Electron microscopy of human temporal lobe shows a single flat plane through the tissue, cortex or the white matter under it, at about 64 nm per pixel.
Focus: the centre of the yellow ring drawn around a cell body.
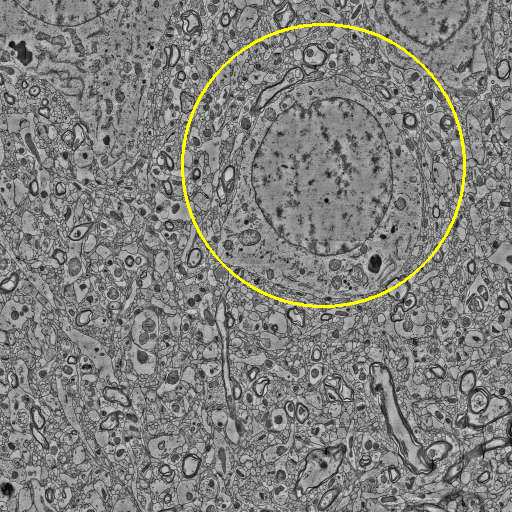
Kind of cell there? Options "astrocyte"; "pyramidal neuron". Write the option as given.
pyramidal neuron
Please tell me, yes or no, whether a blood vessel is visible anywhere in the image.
No, a blood vessel is absent from this picture.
